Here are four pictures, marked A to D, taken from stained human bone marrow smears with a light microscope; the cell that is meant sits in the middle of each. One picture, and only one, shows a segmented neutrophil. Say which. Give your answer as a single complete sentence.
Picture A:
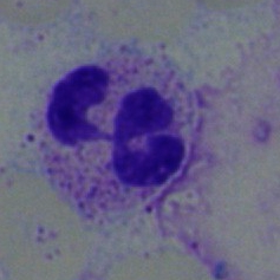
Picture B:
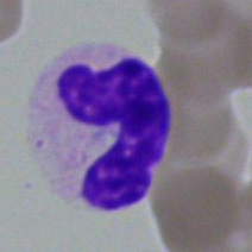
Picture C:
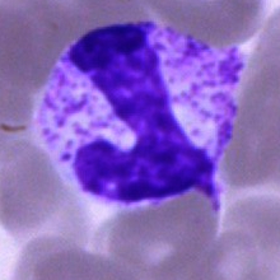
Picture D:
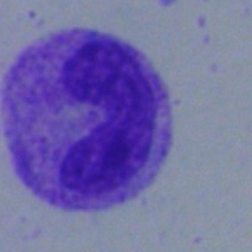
Picture A shows the segmented neutrophil.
